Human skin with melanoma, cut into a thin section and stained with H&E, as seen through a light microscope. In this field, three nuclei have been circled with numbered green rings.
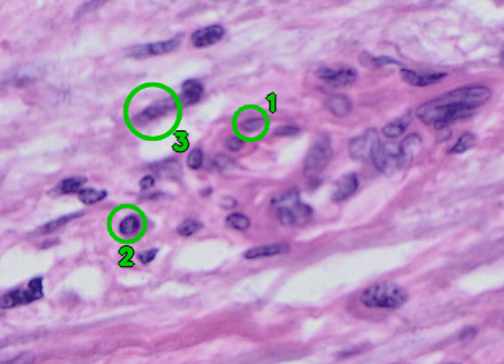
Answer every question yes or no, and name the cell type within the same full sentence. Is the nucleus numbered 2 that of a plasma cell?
Yes, the cell carrying number 2 is a plasma cell.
